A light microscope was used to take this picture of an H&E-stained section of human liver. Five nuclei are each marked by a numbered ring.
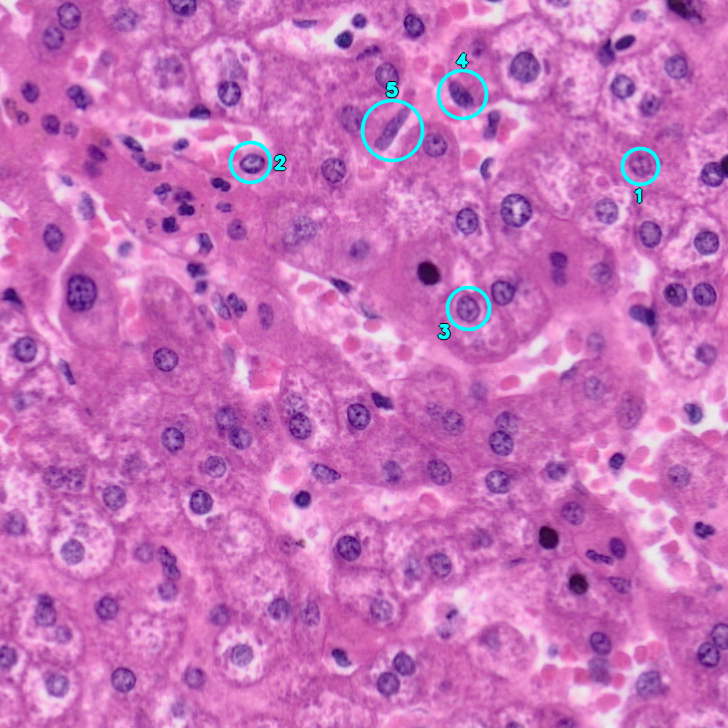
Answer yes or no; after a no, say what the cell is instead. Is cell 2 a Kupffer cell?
Yes.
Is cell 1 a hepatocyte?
Yes.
